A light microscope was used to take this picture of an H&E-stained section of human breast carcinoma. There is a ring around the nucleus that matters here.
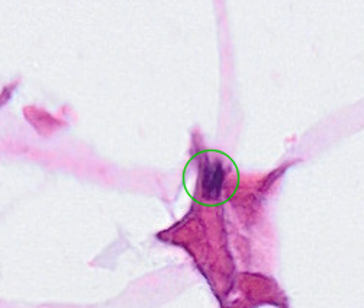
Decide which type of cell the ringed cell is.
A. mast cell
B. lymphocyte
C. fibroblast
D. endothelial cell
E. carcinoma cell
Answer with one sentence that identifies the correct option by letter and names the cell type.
Option D gets it right: the ringed cell is an endothelial cell.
